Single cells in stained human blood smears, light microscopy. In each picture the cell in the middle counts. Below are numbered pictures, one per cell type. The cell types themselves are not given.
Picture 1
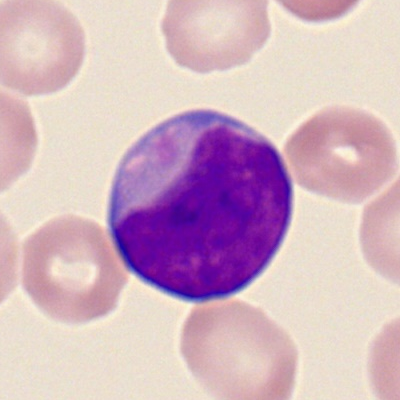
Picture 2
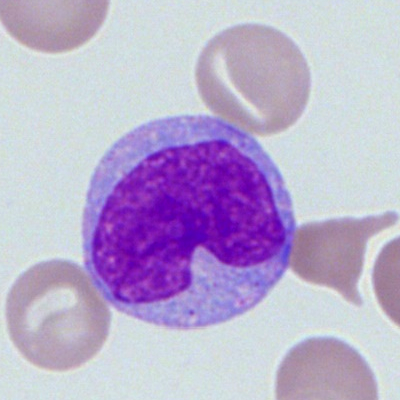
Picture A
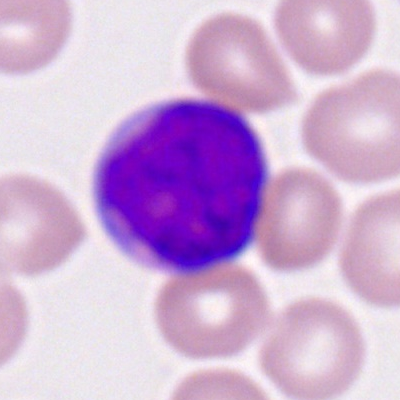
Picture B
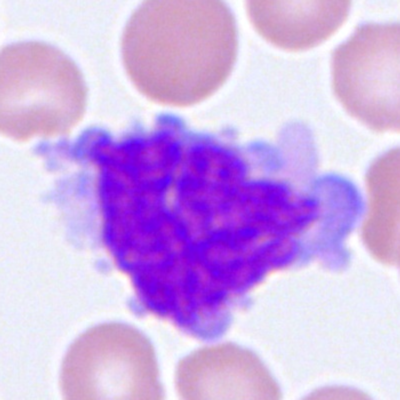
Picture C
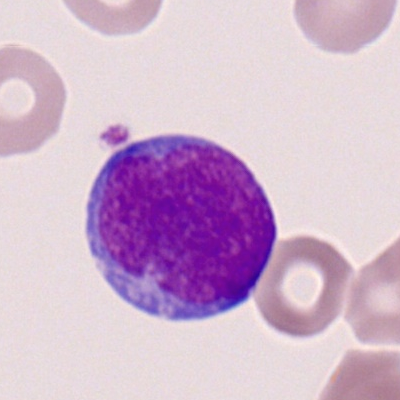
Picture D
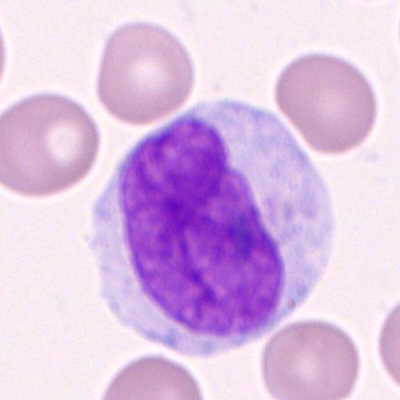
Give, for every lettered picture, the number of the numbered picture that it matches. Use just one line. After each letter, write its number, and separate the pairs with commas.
A 1, B 2, C 1, D 2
